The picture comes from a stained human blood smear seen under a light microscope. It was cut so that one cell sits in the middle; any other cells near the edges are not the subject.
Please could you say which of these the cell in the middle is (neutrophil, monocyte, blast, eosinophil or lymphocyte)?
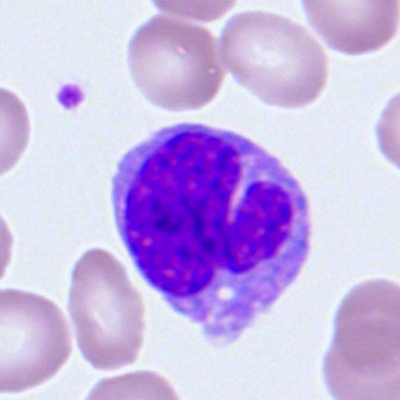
monocyte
